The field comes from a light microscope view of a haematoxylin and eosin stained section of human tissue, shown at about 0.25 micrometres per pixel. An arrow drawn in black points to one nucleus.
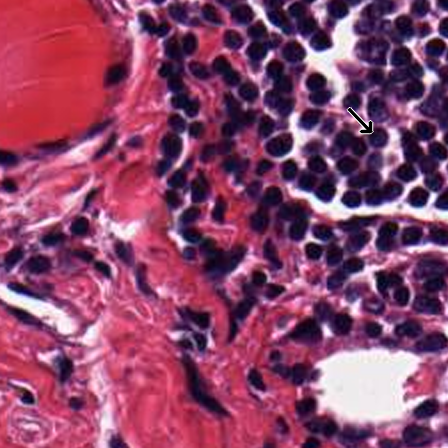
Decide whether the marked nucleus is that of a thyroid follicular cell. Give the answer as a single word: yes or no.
no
